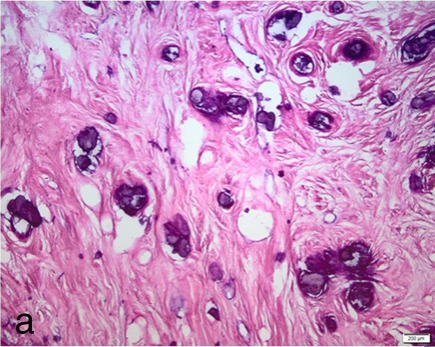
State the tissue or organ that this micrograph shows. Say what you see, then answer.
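Pale pink wavy fibres fill the background. Very few nuclei are seen among the fibres. The answer: acellular hyaline fibrous tissue.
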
